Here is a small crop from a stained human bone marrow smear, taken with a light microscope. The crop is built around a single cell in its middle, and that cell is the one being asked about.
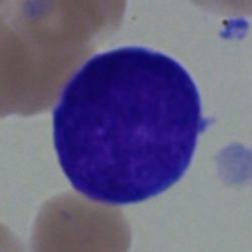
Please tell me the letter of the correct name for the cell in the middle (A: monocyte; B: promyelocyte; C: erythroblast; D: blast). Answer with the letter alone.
D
